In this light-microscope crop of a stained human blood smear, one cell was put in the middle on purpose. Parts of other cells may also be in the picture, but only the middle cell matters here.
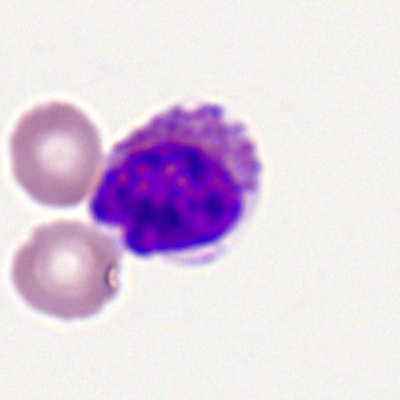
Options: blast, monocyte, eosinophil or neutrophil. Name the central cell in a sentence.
The cell positioned in the middle of the field is an eosinophil.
